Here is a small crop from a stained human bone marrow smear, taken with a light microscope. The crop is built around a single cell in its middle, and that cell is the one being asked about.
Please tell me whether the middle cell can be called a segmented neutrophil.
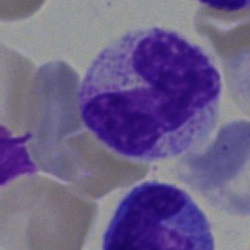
no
